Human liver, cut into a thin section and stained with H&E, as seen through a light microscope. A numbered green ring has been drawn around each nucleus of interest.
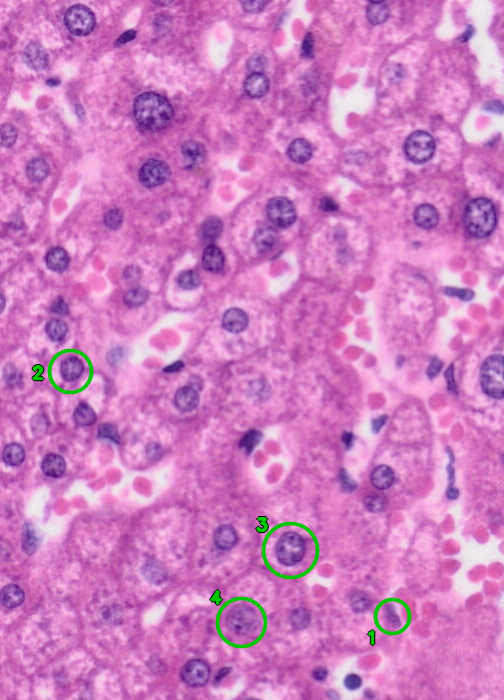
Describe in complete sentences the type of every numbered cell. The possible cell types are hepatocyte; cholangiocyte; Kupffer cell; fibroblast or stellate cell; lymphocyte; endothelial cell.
Cell 1 is an endothelial cell, cell 2 is a hepatocyte, cell 3 is a hepatocyte and cell 4 is a hepatocyte.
